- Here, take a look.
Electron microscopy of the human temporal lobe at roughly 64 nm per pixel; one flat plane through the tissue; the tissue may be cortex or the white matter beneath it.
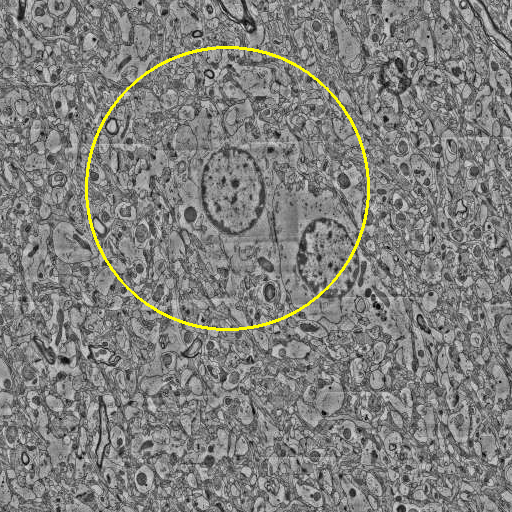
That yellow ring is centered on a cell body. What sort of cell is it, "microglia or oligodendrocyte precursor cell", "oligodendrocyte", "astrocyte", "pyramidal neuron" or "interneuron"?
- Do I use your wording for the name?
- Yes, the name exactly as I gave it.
astrocyte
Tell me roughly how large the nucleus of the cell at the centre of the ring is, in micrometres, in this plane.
Roughly 6 by 4 micrometres in this plane, for the nucleus of the ringed cell.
